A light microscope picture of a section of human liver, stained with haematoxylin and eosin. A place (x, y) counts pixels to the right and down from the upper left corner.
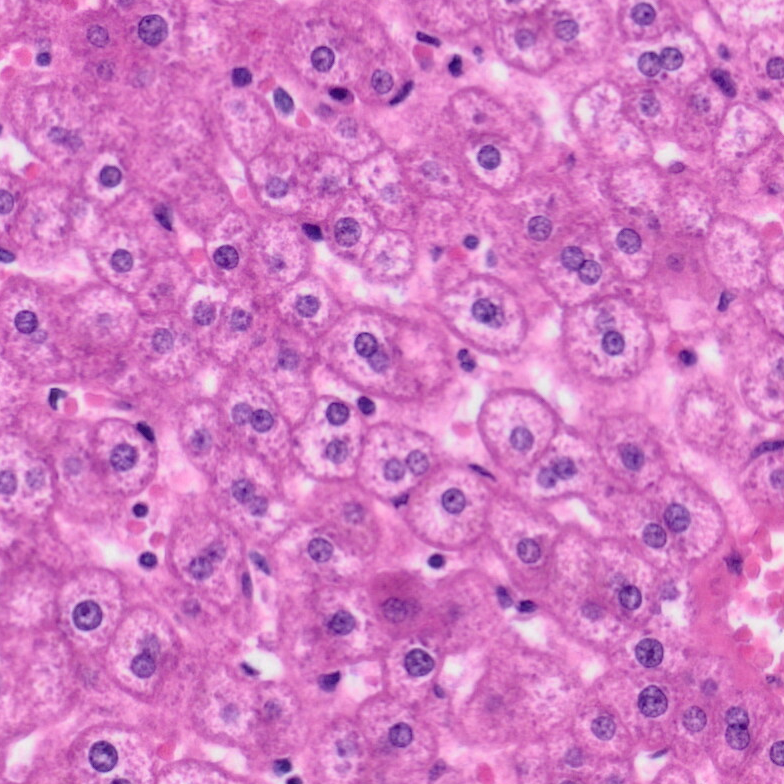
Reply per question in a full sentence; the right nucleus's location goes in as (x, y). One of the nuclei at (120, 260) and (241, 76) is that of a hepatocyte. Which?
The one belonging to a hepatocyte is the nucleus at (120, 260), not the other.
